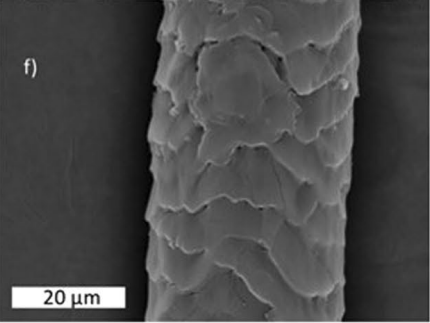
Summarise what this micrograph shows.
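This is a biological fibre at high magnification, and its surface is covered in flattened scales. The scales overlap one another like roof tiles, each with a thin, irregular, slightly lifted free edge, and the edges all run roughly across the fibre and point the same way along its length. The fibre is a straight, evenly wide cylinder against a plain, smooth background. This scaled surface sets it apart from a smooth synthetic fibre, which would show no such overlapping plates along its length.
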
